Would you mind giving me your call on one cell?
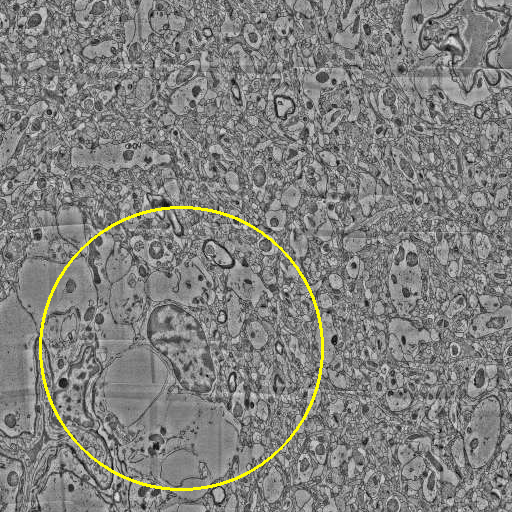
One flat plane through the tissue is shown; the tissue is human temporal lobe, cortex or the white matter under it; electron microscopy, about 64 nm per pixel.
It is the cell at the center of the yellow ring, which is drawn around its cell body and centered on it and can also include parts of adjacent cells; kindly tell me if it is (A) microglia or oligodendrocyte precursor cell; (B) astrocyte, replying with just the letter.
A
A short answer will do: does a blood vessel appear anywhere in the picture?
Yes.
